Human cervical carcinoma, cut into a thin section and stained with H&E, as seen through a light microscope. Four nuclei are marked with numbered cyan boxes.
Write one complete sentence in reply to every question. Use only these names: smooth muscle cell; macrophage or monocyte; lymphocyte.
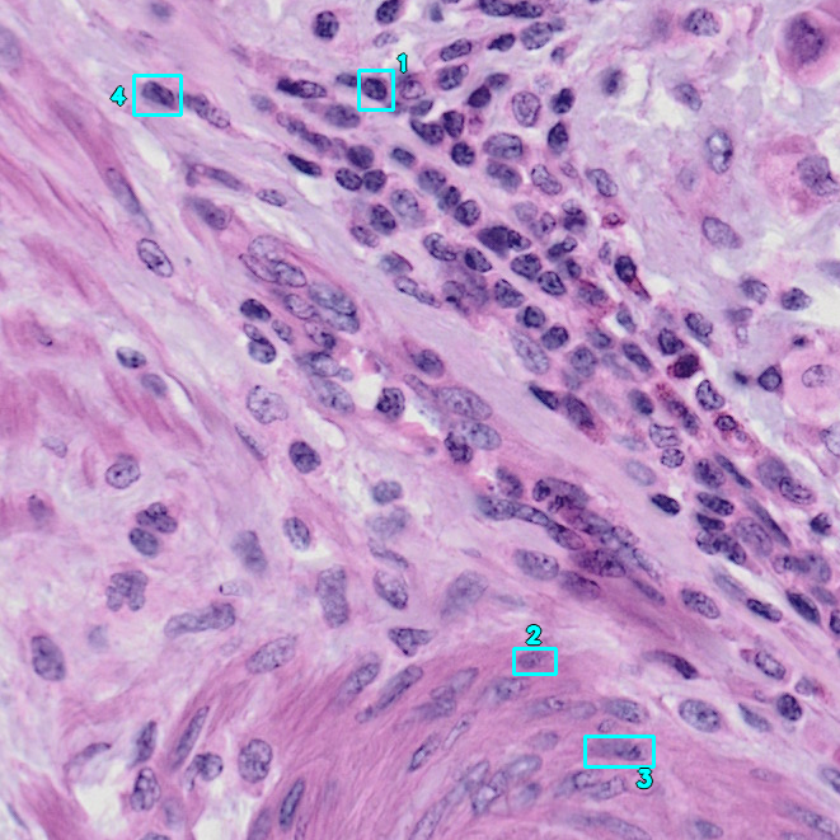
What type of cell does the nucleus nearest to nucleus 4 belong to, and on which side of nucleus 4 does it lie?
The closest nucleus belongs to a macrophage or monocyte and sits to the right of nucleus 4.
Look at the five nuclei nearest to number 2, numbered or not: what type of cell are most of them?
Most of the five nuclei nearest to number 2 are those of smooth muscle cells.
